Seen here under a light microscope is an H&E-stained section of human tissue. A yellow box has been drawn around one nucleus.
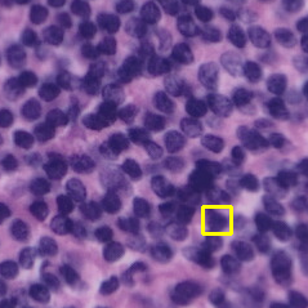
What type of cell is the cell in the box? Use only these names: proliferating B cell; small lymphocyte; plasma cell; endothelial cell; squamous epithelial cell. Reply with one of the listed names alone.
small lymphocyte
